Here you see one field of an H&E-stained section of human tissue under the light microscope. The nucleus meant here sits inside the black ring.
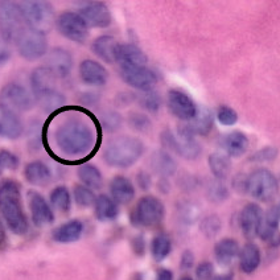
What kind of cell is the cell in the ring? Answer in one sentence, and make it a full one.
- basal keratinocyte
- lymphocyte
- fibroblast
The identity of the cell in the ring is that of a basal keratinocyte.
